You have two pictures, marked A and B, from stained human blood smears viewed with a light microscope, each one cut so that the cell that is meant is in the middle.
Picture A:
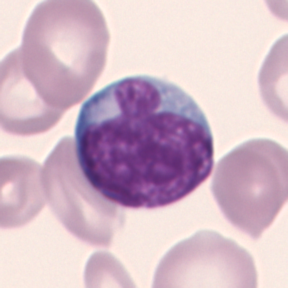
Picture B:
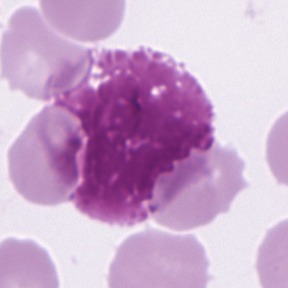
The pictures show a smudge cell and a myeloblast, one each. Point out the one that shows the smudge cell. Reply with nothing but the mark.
B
